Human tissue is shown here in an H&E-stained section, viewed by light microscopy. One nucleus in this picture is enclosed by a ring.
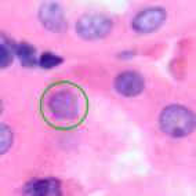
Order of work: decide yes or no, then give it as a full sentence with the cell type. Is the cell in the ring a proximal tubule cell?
Yes, the cell in the ring is one that is classed as a proximal tubule cell.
